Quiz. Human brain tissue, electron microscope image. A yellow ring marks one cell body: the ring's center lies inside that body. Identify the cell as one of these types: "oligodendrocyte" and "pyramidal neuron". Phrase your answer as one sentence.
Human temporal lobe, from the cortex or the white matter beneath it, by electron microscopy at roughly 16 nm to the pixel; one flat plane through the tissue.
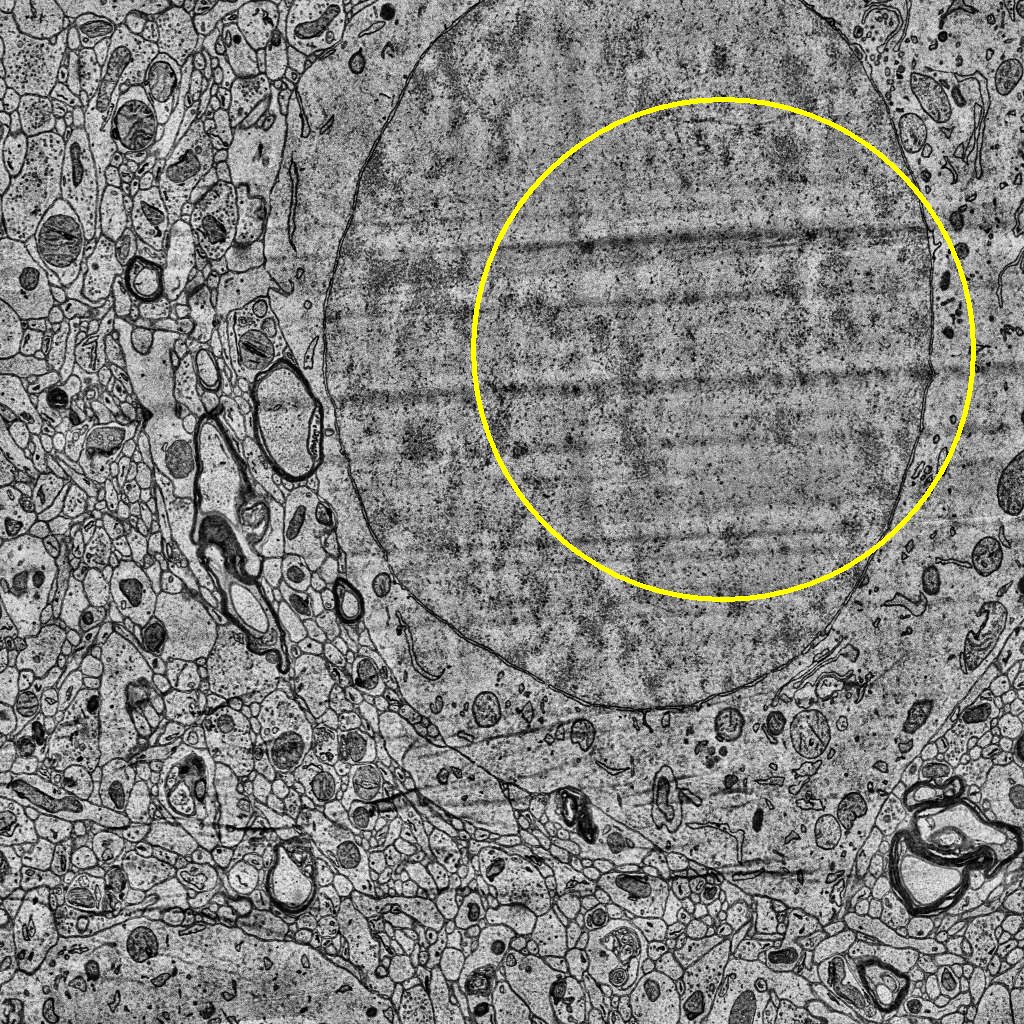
At the center of the ring sits a pyramidal neuron.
